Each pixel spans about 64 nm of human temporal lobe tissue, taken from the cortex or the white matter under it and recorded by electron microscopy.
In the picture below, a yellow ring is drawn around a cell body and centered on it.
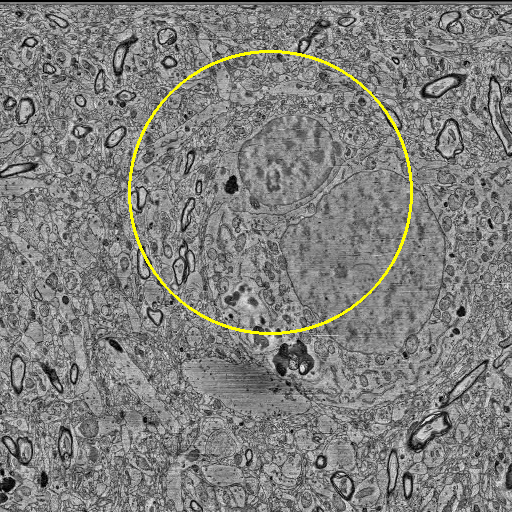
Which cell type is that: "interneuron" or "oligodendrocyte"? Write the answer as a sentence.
The cell centered in the ring is an oligodendrocyte.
